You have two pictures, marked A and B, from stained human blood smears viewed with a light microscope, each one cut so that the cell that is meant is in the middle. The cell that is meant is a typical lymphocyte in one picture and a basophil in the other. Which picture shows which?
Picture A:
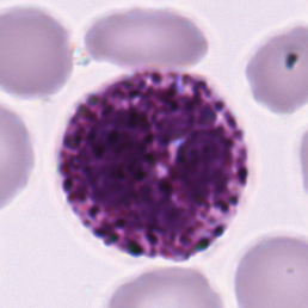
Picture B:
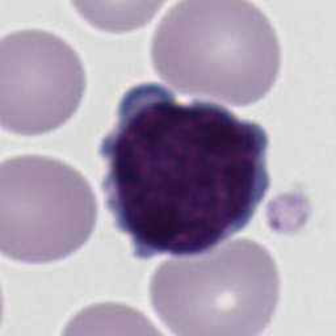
A: basophil
B: typical lymphocyte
